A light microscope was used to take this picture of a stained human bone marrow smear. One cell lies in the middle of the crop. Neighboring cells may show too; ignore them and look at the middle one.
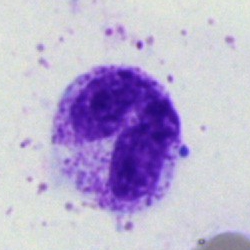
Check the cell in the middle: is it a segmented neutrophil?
no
